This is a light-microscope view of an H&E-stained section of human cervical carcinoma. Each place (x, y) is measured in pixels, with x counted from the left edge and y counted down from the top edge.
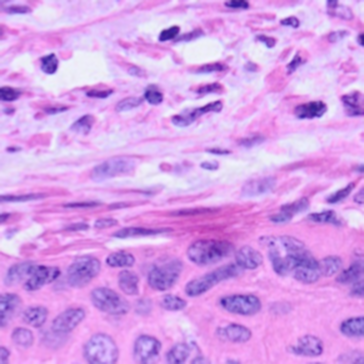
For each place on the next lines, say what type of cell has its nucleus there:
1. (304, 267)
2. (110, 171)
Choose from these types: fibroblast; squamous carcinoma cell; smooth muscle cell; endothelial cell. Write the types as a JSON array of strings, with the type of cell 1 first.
["squamous carcinoma cell", "fibroblast"]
